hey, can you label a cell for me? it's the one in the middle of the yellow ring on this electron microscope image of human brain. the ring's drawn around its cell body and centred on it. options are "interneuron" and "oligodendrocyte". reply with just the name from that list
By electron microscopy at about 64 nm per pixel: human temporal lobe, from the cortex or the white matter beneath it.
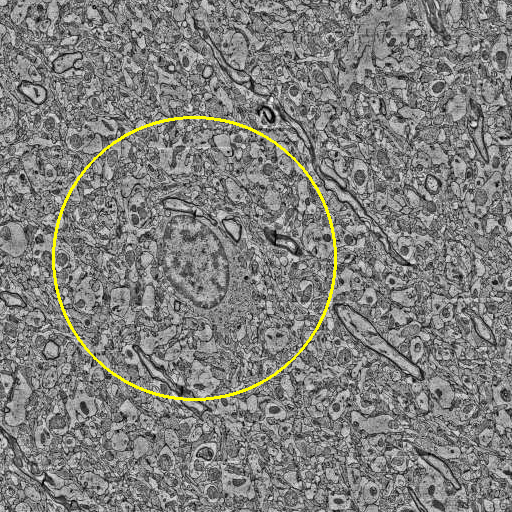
oligodendrocyte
